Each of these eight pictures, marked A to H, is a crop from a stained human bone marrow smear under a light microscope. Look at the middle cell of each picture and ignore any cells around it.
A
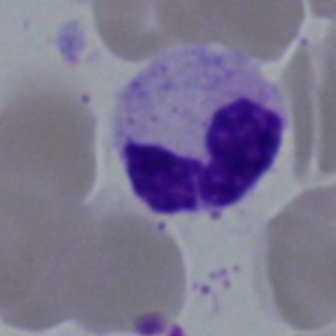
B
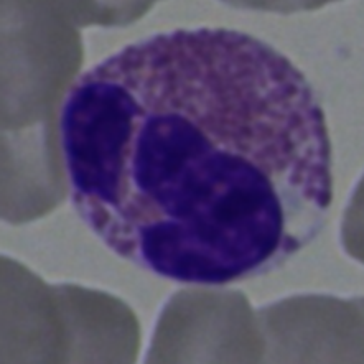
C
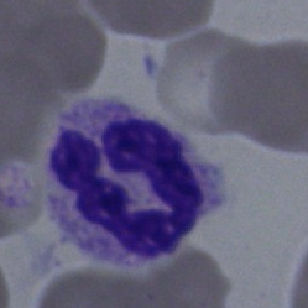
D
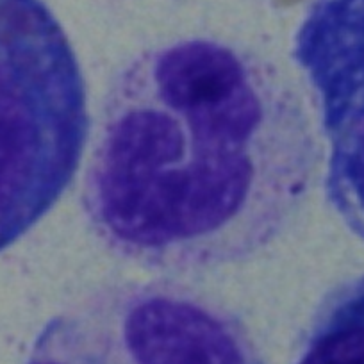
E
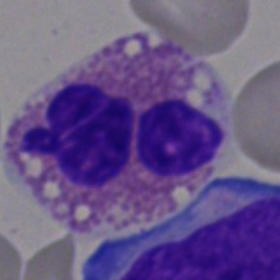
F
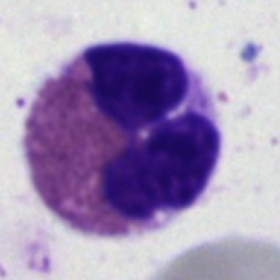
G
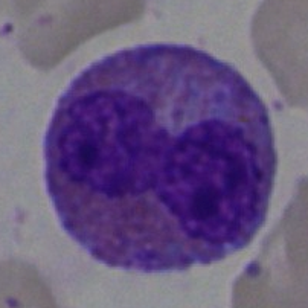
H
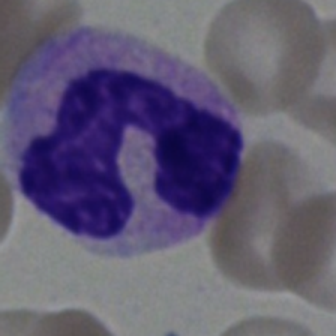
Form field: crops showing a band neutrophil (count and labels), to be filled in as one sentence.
Across the crops there is just one with a band neutrophil, crop H.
